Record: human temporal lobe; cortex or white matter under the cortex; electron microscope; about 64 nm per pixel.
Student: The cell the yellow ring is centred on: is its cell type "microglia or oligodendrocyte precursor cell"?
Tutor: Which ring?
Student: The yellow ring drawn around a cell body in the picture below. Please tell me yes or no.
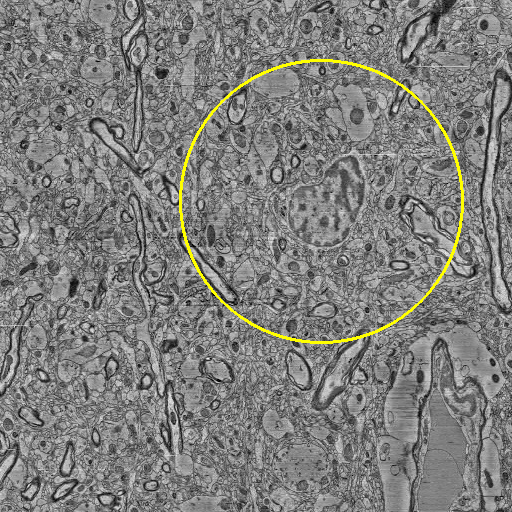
yes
